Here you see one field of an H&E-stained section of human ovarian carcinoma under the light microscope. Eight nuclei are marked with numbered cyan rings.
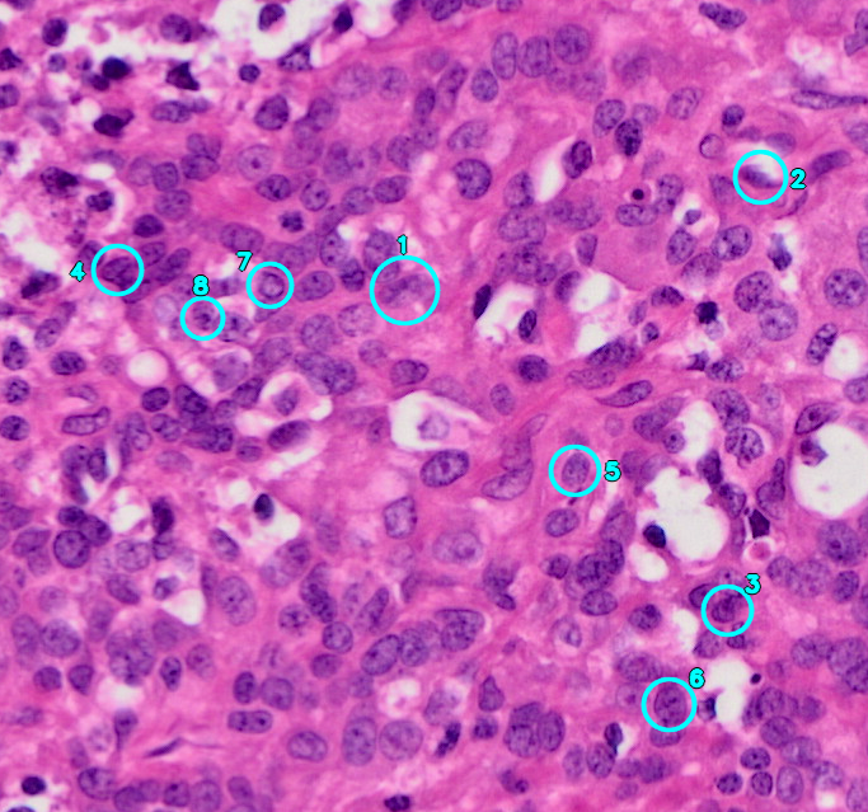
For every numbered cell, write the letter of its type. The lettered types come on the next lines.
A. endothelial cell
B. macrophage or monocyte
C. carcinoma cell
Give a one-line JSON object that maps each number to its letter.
{"1": "C", "2": "A", "3": "C", "4": "C", "5": "B", "6": "C", "7": "C", "8": "B"}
